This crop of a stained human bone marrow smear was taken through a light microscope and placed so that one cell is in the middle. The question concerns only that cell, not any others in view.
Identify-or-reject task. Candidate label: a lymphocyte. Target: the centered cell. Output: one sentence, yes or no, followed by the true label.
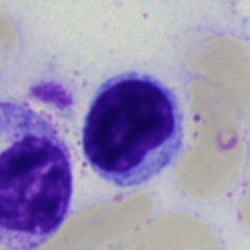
Yes, the one cell at the centre is a lymphocyte.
